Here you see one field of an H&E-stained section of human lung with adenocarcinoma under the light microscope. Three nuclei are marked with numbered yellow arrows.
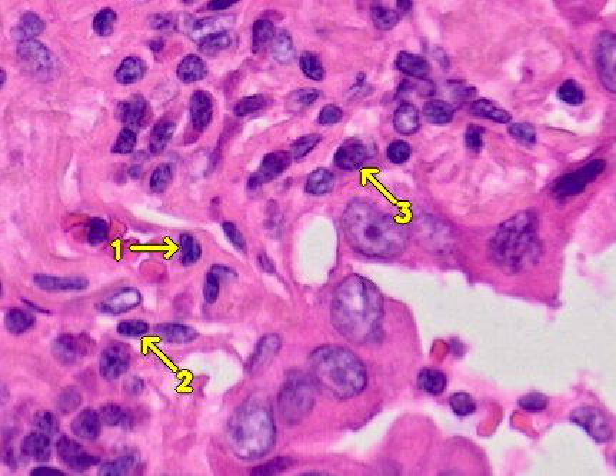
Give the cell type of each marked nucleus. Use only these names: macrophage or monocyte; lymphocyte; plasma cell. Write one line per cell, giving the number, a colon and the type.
1: lymphocyte
2: lymphocyte
3: plasma cell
